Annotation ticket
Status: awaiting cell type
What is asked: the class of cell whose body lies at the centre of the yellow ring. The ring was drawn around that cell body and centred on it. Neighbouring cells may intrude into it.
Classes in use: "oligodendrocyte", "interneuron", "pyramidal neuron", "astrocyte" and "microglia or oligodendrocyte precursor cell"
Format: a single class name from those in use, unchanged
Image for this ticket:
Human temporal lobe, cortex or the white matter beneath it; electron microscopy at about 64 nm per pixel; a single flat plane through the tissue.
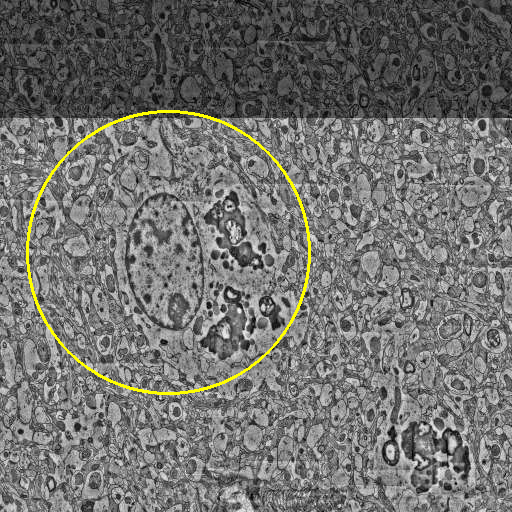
astrocyte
